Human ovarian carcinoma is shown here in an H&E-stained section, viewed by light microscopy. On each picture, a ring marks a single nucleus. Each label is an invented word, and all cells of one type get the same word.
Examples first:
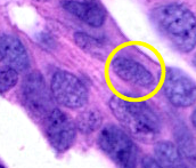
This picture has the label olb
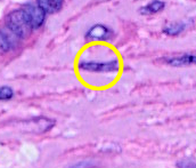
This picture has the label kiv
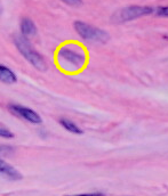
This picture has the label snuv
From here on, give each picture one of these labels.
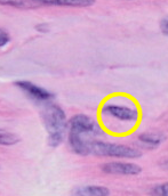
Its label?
snuv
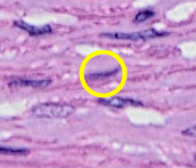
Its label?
kiv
